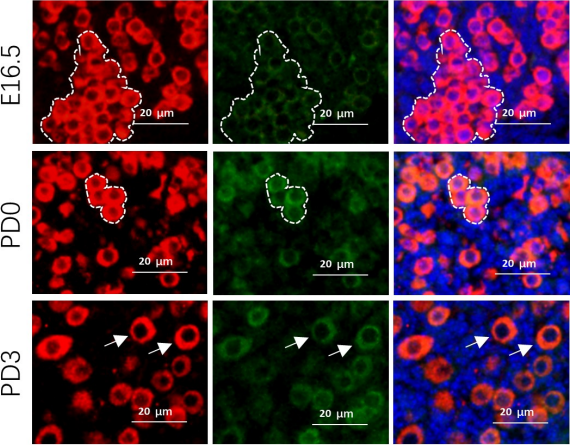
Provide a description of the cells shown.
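These are fluorescence images of ovarian tissue in which germ cells appear as round cells with red cytoplasm surrounding a blue nucleus. In the upper rows many germ cells lie packed together in clusters, outlined by a dotted line, forming germline nests with cells touching one another. In the lowest row the germ cells are more separated and individually larger, each with a crisp red cytoplasmic ring and a round central nucleus, marked by arrows. Around them lie numerous small blue nuclei of somatic cells. The green signal is cytoplasmic and appears as rings that coincide with the red germ cells, brighter in the separated cells of the lowest row.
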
